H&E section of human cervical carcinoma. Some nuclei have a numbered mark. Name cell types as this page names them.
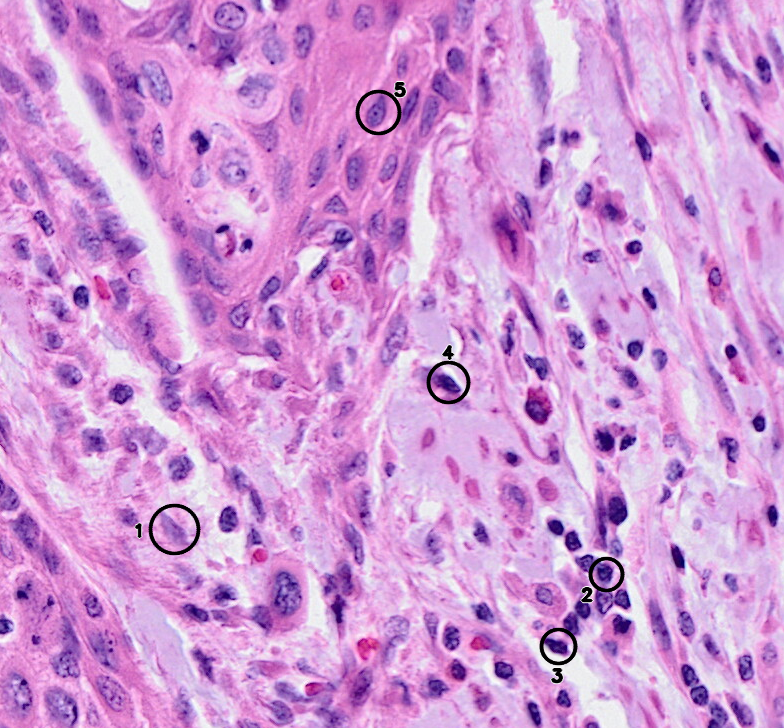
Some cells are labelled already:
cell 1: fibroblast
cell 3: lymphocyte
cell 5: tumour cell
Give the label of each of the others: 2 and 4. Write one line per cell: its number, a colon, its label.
2: lymphocyte
4: lymphocyte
